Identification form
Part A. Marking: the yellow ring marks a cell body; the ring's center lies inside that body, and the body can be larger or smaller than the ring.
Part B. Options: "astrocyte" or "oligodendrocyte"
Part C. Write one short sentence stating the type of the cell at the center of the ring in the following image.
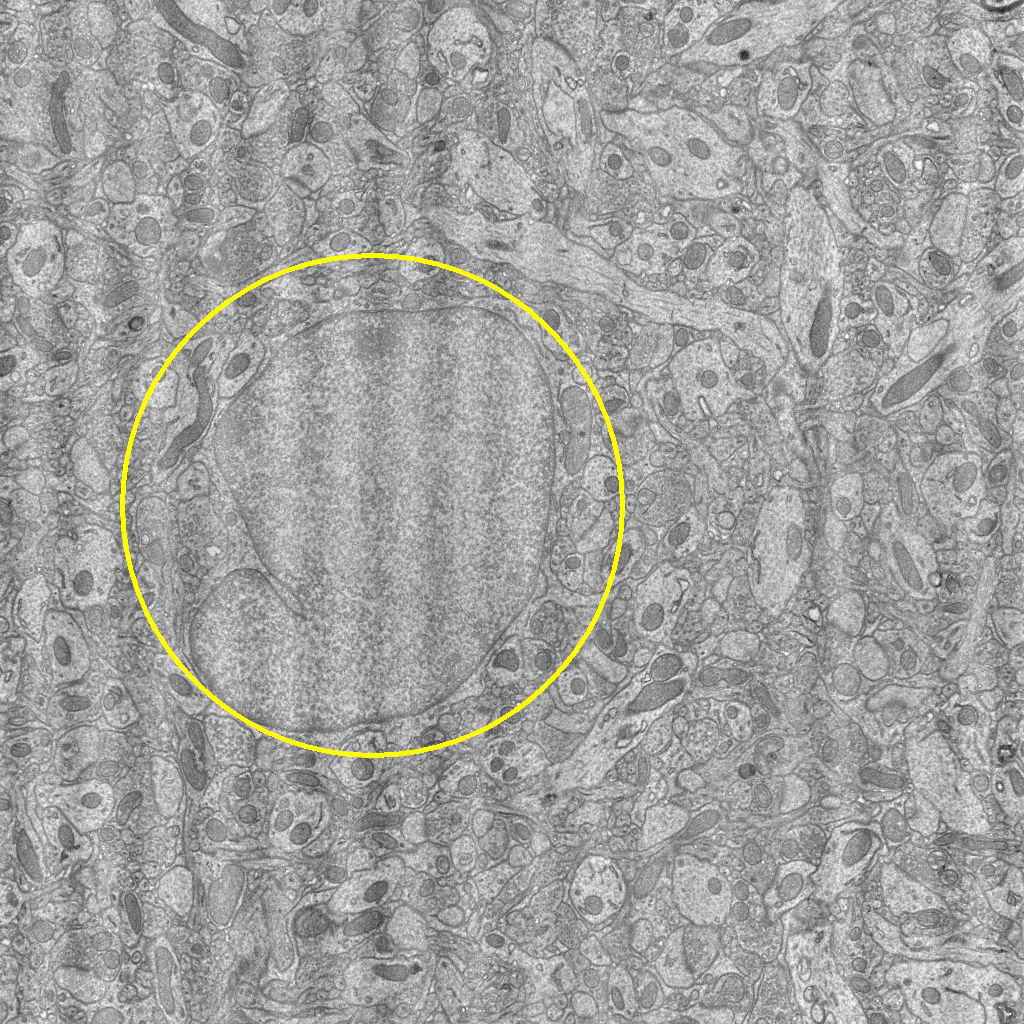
The center of the ring holds an astrocyte.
